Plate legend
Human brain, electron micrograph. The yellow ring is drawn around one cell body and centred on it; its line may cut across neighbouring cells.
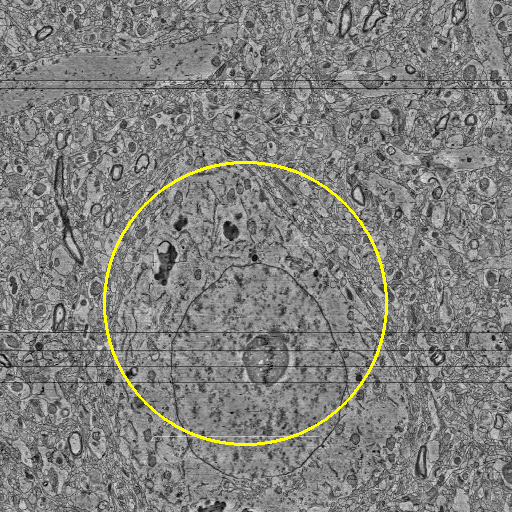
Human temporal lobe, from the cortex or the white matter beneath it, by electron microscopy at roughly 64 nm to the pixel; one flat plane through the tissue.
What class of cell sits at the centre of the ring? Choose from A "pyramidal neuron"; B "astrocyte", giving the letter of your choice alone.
A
